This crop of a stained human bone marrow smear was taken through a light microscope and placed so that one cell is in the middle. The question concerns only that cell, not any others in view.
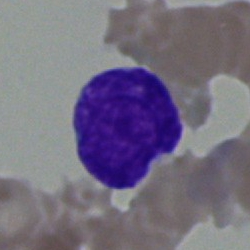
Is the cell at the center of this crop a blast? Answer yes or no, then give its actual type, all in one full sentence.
Yes, the cell of interest in the middle is a blast.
